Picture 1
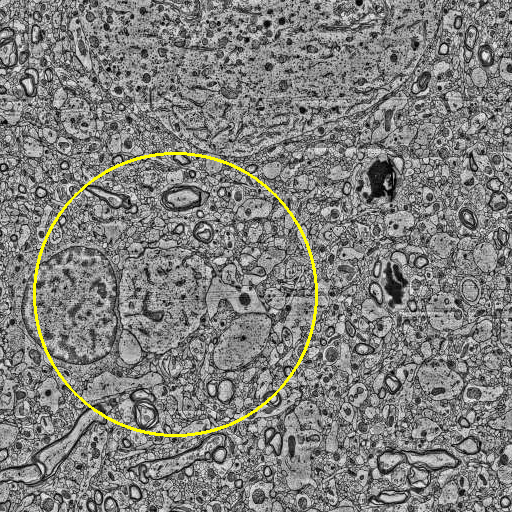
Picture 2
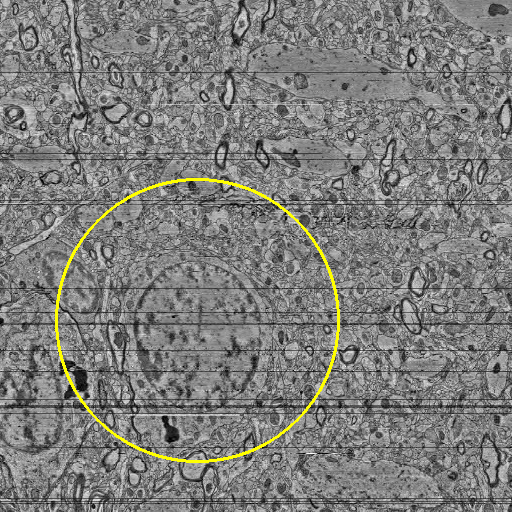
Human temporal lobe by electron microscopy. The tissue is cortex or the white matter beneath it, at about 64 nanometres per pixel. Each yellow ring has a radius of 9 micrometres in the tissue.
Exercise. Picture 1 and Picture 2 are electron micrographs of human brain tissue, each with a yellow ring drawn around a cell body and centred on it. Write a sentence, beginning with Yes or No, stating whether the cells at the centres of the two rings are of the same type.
Yes, the cells at the centres of both rings are of the same type.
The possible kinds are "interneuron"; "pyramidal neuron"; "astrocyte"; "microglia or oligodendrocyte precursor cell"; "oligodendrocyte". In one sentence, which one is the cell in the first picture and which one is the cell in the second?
Each of the ringed cells, first and second, is an interneuron.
